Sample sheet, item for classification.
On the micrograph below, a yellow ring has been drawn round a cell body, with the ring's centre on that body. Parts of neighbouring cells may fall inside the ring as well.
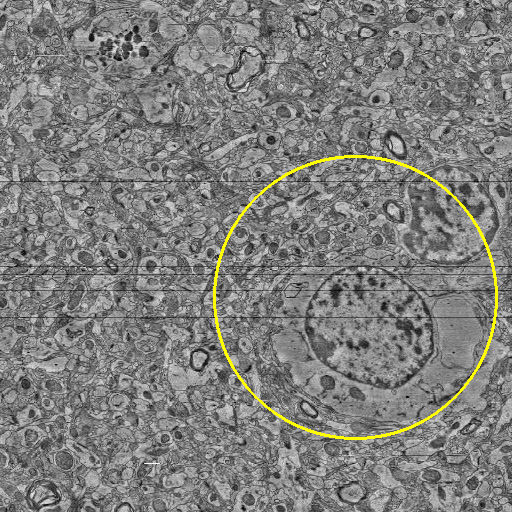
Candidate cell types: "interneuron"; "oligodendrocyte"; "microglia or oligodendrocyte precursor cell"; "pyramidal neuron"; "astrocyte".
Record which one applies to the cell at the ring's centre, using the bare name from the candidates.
astrocyte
